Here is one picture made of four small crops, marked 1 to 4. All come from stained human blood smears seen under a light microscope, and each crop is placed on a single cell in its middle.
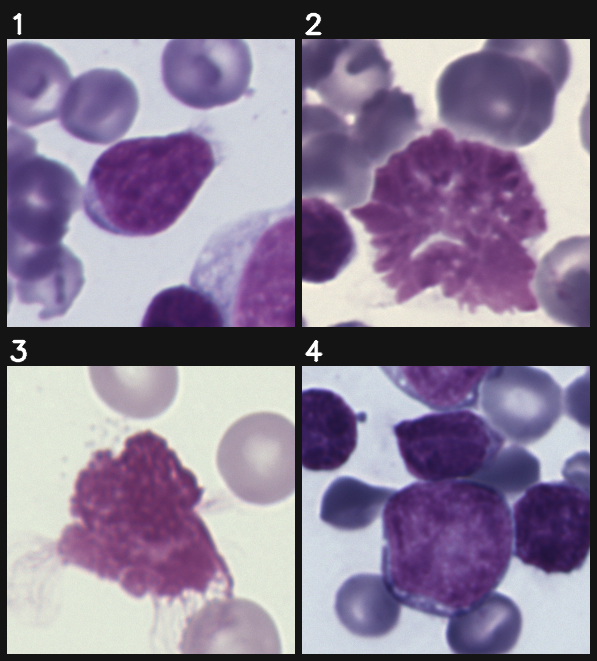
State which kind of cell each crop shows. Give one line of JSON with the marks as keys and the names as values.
{"1": "myeloblast", "2": "smudge cell", "3": "smudge cell", "4": "myeloblast"}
